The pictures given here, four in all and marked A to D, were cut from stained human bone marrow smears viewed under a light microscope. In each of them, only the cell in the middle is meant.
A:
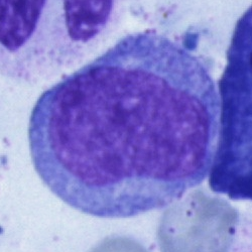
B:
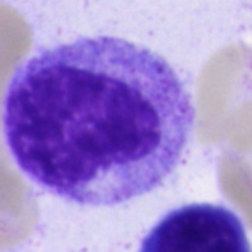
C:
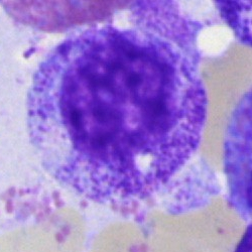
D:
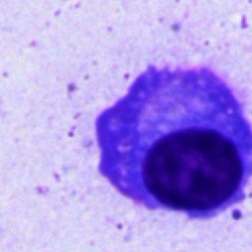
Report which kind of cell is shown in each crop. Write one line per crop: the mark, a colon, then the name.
A: blast
B: promyelocyte
C: promyelocyte
D: plasma cell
